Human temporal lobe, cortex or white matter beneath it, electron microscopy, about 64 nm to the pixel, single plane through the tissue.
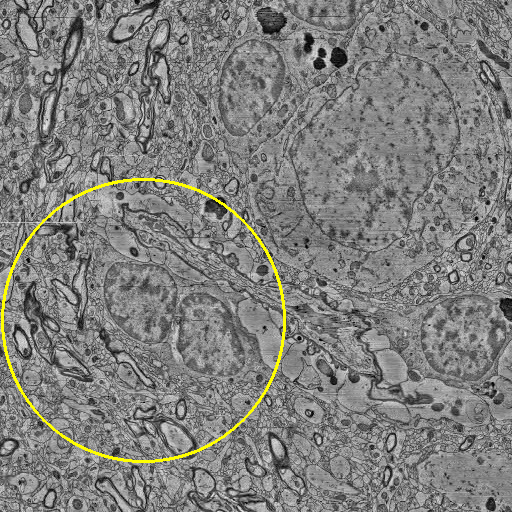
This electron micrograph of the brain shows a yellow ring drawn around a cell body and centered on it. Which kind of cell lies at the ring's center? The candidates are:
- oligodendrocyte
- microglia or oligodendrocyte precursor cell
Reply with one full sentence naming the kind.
The cell lying at the ring's center in this micrograph is an oligodendrocyte.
